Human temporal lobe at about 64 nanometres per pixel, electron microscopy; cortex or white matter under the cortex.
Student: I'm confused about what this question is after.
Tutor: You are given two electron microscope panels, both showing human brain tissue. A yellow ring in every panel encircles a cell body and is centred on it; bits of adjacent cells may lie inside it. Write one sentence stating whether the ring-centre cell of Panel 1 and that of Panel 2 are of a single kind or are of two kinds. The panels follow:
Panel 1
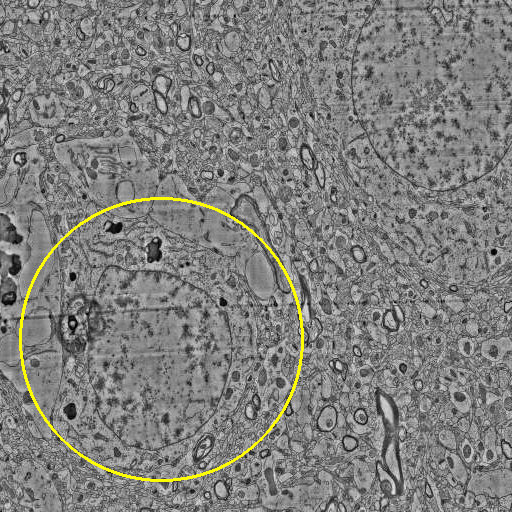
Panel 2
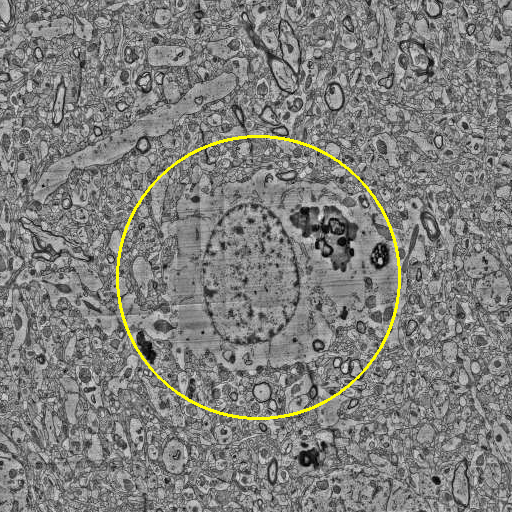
Here, the Panel 1 ring-centre cell and the Panel 2 ring-centre cell are of two kinds.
